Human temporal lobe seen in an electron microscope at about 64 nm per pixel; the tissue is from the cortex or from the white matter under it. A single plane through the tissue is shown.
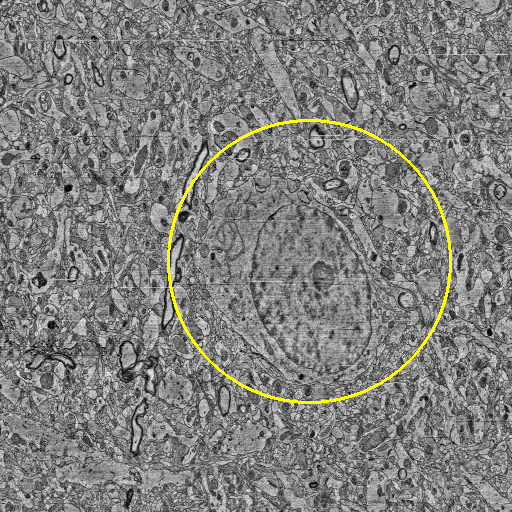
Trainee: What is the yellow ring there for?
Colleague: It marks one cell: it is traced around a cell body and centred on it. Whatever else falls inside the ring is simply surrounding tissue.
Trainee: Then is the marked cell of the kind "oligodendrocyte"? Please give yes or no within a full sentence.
No, the marked cell at the centre of the yellow ring is of a different kind.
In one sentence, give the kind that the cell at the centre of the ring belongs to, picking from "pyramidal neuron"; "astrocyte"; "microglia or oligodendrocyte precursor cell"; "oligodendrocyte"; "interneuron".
What the ring is centred on is an interneuron.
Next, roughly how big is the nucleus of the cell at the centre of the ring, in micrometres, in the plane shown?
Approximately 12 micrometres long and 7 micrometres wide, so clearly longer than it is wide in this plane.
